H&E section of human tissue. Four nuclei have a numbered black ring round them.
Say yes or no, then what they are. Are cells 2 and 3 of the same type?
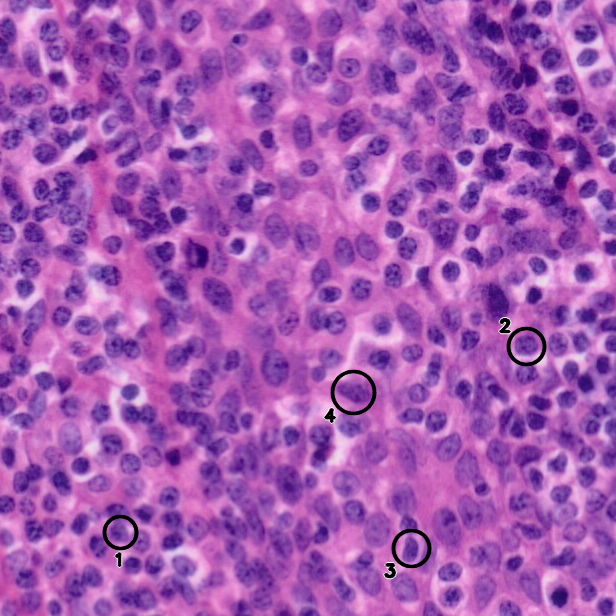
No; whereas cell 2 is a plasma cell, cell 3 is a squamous epithelial cell.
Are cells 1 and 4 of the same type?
No, cell 4 is a squamous epithelial cell, but cell 1 is a plasma cell.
